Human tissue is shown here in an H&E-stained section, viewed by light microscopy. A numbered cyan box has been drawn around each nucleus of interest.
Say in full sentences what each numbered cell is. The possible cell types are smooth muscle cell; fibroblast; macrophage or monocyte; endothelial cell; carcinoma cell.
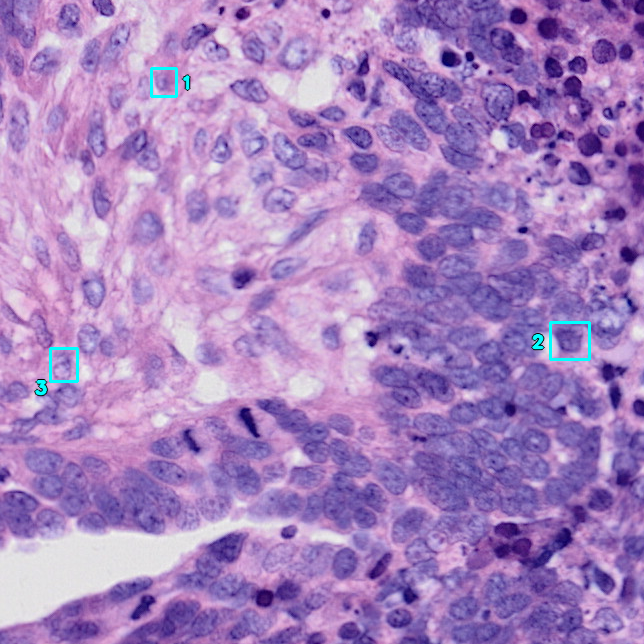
Cell 1 is a fibroblast, cell 2 is a carcinoma cell and cell 3 is a fibroblast.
